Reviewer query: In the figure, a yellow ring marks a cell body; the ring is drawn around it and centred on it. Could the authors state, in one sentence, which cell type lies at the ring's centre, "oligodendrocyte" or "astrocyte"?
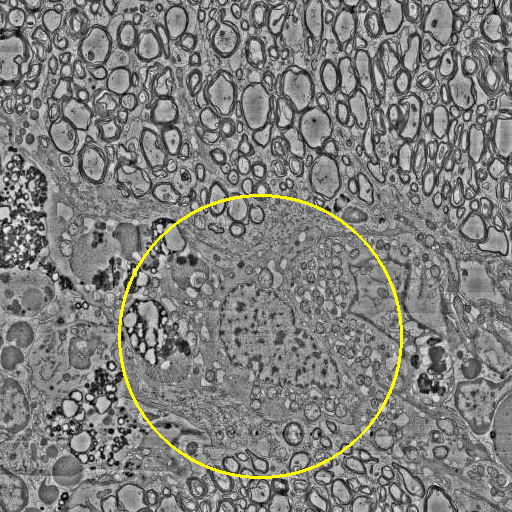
The ring is centred on an astrocyte.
